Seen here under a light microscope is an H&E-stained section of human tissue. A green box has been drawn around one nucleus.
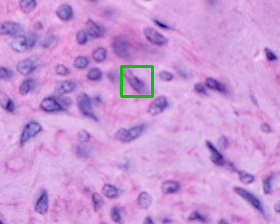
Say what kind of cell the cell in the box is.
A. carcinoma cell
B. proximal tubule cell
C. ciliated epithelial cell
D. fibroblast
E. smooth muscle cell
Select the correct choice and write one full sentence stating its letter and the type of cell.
Option E is correct in that the cell in the box is a smooth muscle cell.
